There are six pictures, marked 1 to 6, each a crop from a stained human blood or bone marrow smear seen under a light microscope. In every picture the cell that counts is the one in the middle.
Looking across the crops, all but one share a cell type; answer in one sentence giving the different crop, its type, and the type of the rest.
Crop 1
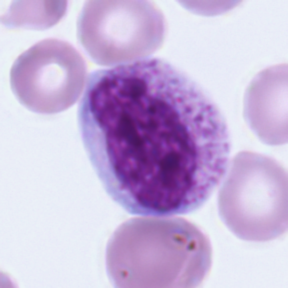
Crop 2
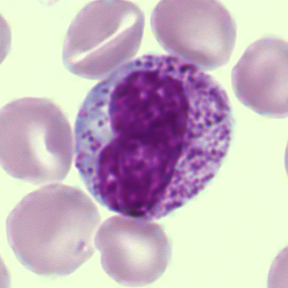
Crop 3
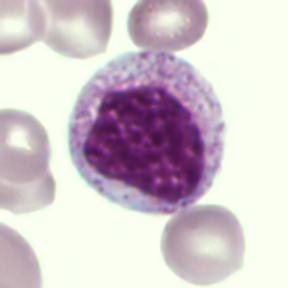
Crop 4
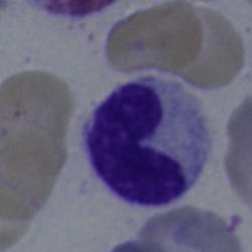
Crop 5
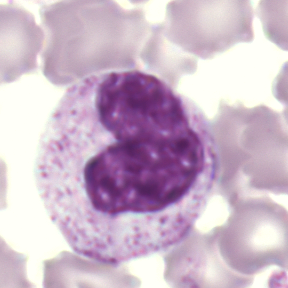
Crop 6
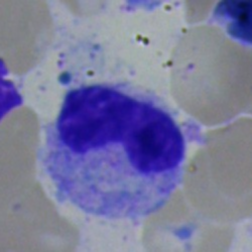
Crop 4 is the only crop with a band neutrophil, the others all showing metamyelocytes.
